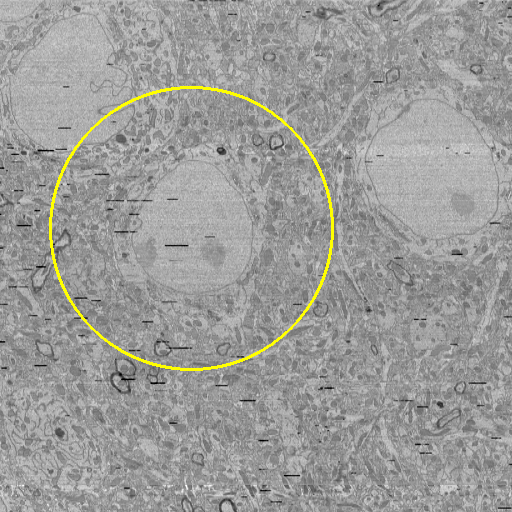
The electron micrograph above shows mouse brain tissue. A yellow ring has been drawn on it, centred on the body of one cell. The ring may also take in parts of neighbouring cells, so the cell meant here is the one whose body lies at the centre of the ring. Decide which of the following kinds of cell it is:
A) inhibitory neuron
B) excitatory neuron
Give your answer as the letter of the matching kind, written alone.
B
